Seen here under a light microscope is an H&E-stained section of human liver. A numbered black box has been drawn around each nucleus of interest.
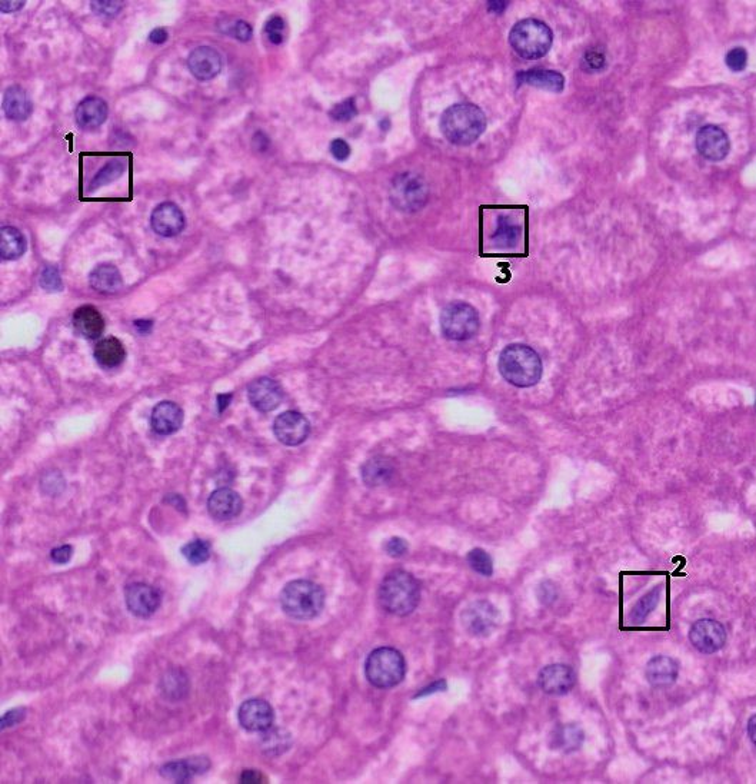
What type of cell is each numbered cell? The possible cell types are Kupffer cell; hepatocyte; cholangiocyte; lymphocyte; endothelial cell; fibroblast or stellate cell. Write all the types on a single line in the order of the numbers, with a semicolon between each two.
Kupffer cell; Kupffer cell; fibroblast or stellate cell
